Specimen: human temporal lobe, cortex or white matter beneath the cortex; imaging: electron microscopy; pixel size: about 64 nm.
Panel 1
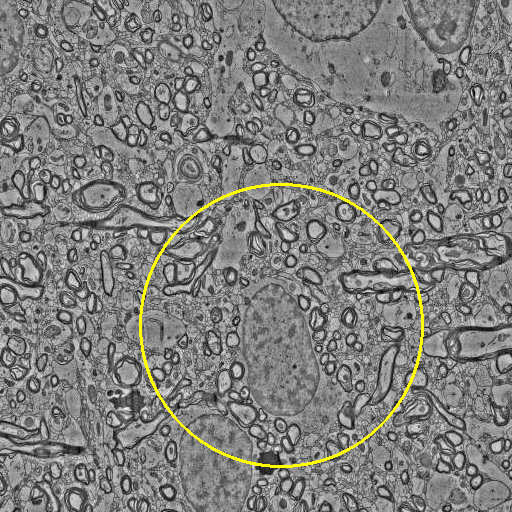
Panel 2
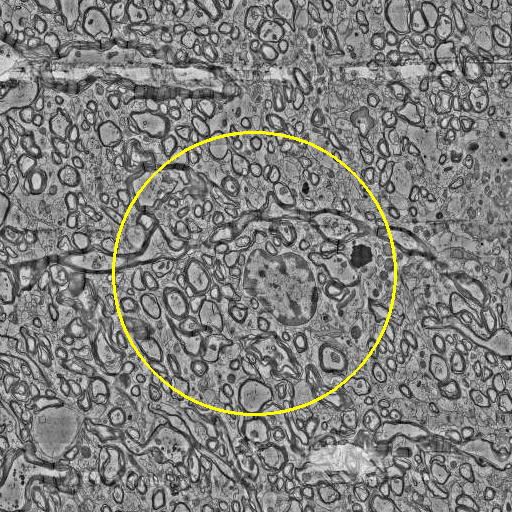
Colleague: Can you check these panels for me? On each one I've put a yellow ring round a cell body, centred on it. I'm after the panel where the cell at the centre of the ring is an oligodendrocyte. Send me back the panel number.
1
